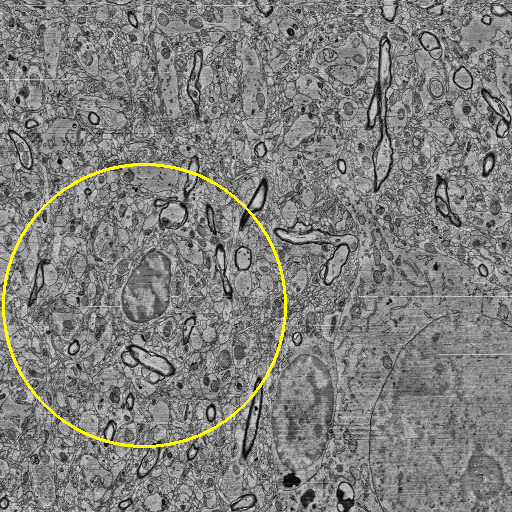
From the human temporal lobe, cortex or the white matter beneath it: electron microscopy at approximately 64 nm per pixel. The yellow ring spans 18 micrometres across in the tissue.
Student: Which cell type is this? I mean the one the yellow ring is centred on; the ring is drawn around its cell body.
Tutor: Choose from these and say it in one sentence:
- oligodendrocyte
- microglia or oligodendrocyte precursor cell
The cell the ring is centred on is a microglial cell or oligodendrocyte precursor cell.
